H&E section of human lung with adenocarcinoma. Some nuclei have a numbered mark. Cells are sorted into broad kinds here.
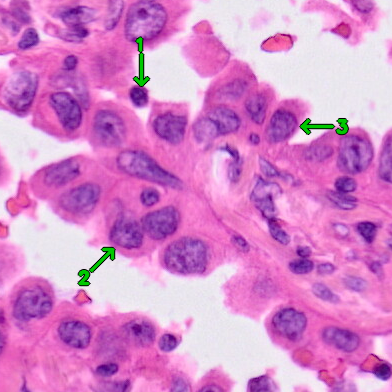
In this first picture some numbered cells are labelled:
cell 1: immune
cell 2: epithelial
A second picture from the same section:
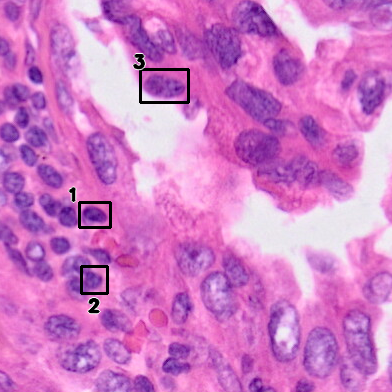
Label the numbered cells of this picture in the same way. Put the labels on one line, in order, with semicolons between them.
immune; immune; epithelial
